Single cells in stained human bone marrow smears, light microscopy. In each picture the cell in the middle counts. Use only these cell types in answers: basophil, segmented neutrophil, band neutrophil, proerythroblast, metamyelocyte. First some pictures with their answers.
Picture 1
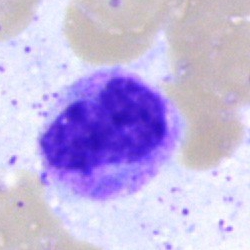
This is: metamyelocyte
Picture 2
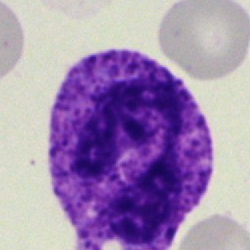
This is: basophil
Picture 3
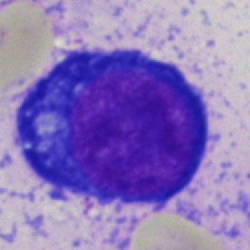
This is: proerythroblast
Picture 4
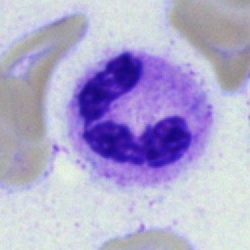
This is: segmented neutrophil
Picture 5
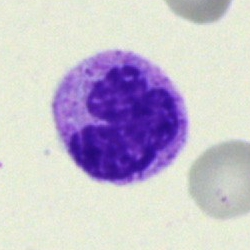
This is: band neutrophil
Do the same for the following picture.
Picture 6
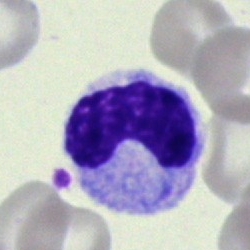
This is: band neutrophil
